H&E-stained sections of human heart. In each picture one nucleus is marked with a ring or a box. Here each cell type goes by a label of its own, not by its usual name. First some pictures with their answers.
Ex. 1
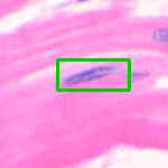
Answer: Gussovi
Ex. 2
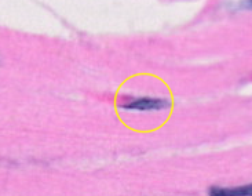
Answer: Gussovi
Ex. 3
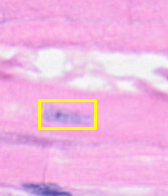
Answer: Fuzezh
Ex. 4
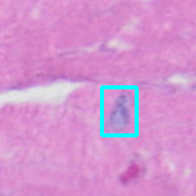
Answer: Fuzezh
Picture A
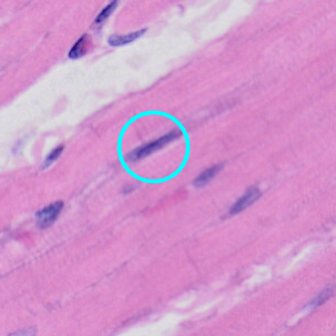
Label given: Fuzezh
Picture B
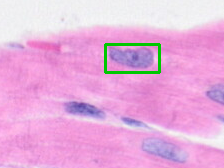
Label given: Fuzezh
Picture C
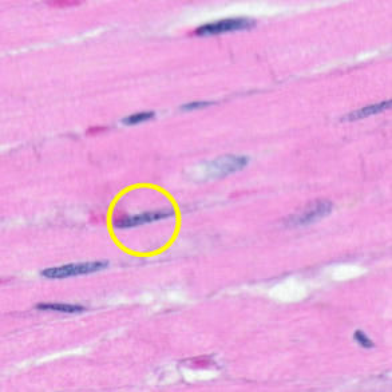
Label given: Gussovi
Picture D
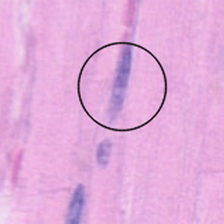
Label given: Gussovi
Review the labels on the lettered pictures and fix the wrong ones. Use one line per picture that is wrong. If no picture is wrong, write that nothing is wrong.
A is labelled Fuzezh; correct label: Gussovi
